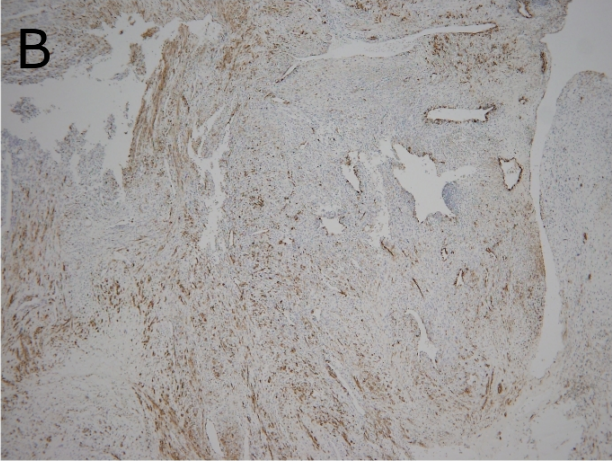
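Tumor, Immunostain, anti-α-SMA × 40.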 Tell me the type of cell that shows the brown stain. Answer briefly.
Spindle cells.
